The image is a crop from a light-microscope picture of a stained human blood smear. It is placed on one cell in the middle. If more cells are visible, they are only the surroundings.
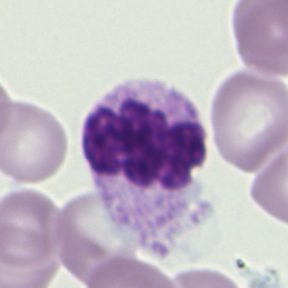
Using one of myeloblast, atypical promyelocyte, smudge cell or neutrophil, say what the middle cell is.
neutrophil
